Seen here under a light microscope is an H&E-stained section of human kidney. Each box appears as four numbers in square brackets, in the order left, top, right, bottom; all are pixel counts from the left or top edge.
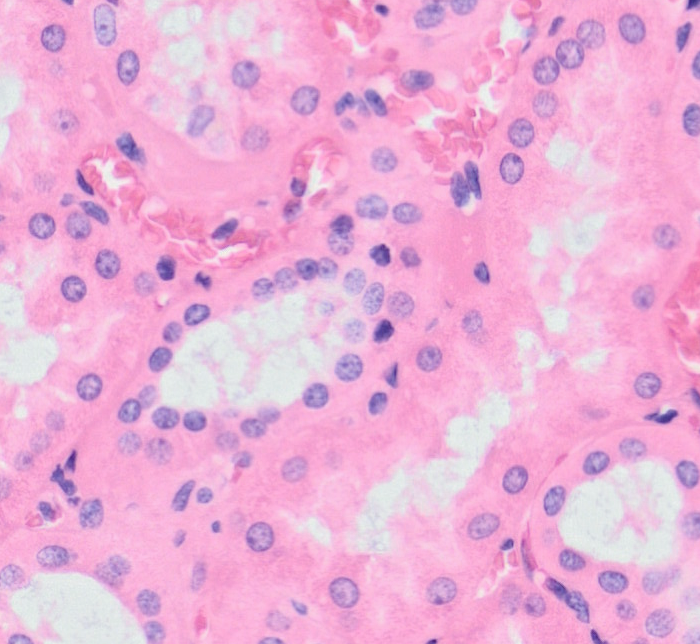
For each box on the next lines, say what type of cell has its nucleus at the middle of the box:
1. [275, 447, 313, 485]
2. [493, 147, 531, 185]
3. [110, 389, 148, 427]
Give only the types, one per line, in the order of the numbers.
proximal tubule cell
proximal tubule cell
loop of Henle or distal tubule cell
